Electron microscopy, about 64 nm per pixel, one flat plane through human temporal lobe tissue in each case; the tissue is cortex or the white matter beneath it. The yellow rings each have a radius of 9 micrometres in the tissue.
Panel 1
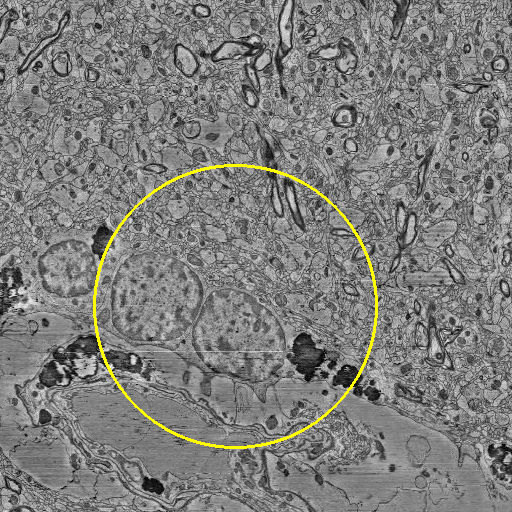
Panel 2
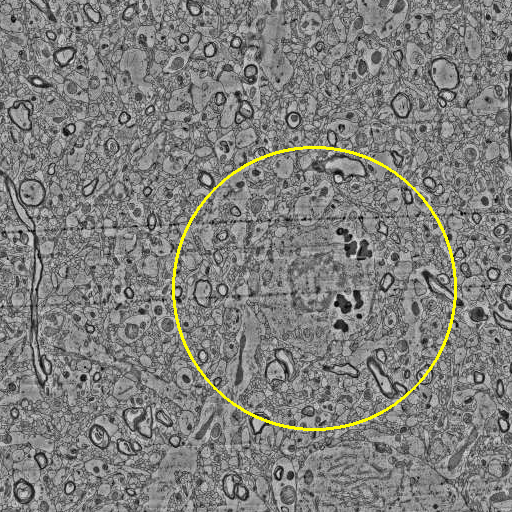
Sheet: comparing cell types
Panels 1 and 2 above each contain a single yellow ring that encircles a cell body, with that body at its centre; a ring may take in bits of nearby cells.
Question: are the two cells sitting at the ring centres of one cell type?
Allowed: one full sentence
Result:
No, the ring-centre cells in Panel 1 and Panel 2 are of two types.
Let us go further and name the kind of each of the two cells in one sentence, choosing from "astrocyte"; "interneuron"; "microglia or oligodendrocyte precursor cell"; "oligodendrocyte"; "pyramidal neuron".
The ring of the first picture is on an oligodendrocyte, the ring of the second on an interneuron.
